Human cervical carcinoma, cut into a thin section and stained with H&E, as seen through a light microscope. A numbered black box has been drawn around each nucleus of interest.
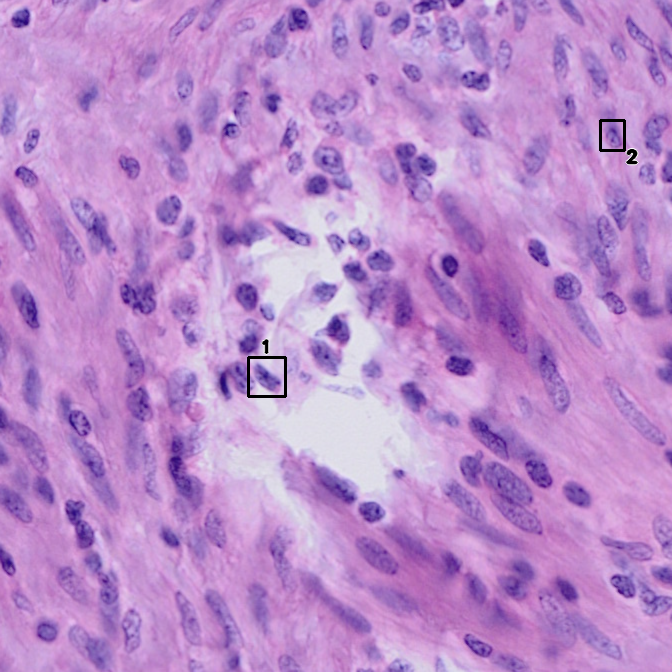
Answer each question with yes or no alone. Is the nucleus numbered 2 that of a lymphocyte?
no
